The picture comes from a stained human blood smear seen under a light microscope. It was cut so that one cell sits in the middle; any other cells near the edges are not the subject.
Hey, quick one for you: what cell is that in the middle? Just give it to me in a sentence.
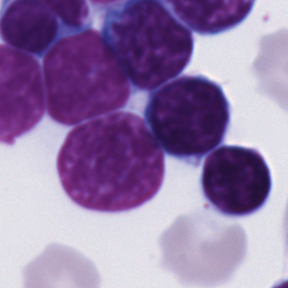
The cell occupying the middle of the crop is a myeloblast.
